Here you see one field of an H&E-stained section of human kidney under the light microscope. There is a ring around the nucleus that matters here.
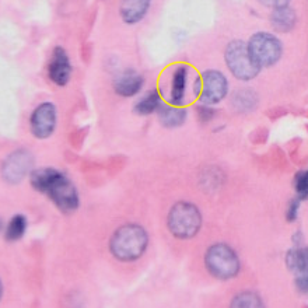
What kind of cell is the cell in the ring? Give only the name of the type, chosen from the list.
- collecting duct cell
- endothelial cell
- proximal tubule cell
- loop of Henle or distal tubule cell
collecting duct cell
